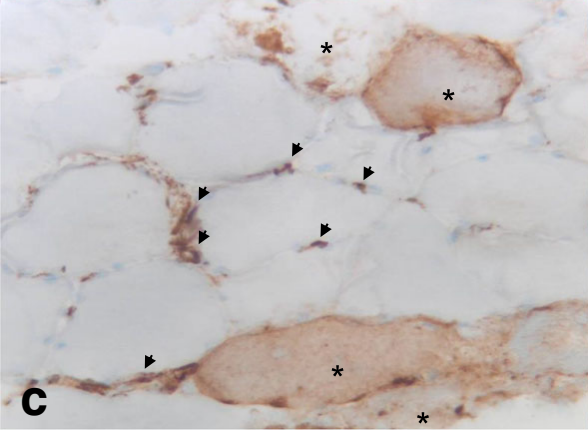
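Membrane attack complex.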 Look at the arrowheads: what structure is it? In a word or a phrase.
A: Small vessels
